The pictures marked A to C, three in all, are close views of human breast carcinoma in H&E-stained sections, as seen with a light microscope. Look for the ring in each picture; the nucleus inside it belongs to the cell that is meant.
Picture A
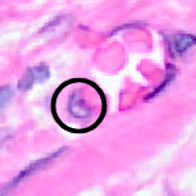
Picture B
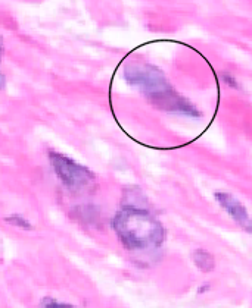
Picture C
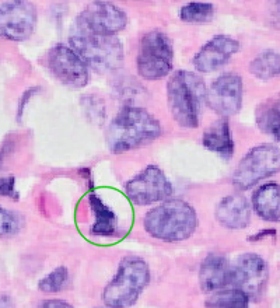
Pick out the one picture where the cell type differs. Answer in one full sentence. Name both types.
Unlike the rest, which show endothelial cells, picture B shows a fibroblast.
